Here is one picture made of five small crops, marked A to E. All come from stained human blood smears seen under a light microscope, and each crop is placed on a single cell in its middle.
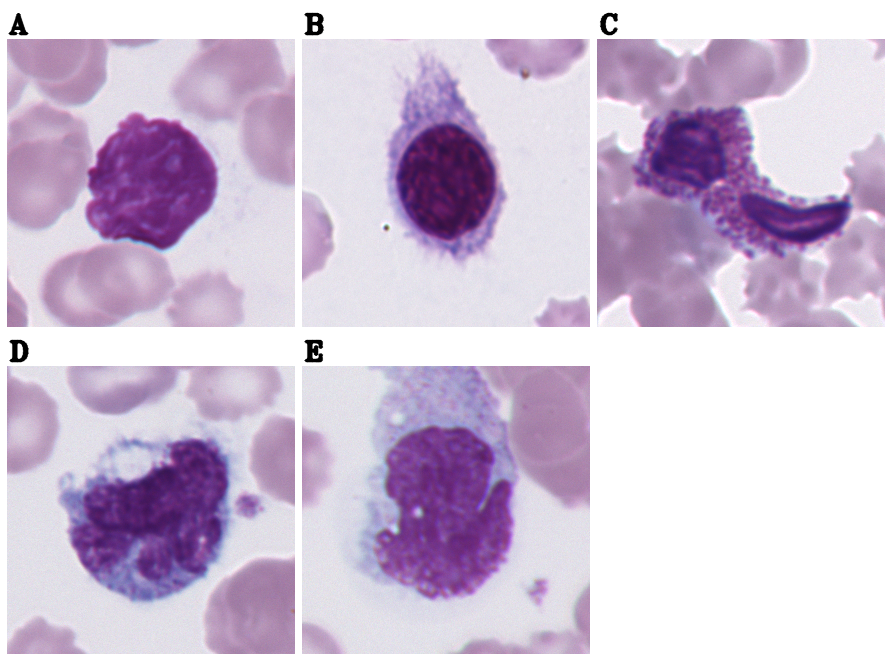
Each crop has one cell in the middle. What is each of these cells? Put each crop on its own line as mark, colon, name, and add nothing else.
A: smudge cell
B: hairy cell
C: eosinophil
D: monocyte
E: monocyte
